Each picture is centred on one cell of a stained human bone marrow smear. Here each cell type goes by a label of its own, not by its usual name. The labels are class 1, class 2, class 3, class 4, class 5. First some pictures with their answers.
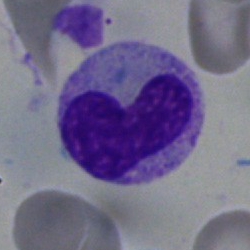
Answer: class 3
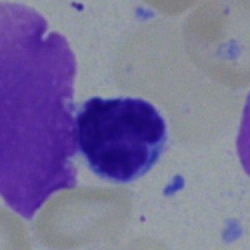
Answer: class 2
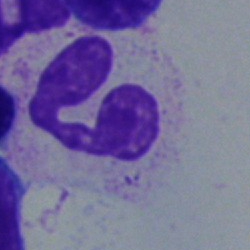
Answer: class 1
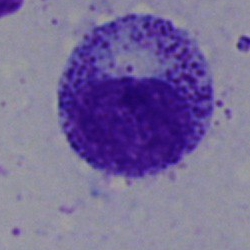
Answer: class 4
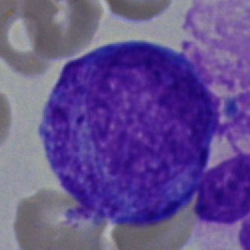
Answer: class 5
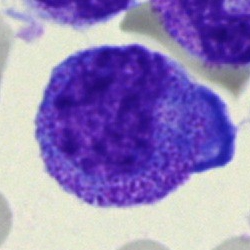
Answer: class 5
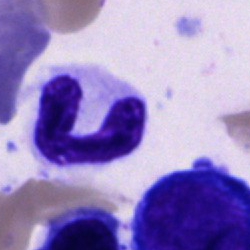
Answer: class 3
